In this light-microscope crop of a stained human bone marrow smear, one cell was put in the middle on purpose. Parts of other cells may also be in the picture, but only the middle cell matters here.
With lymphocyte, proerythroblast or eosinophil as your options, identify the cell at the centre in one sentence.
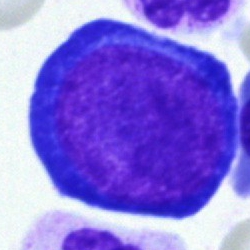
Present in the middle of the crop is a proerythroblast.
